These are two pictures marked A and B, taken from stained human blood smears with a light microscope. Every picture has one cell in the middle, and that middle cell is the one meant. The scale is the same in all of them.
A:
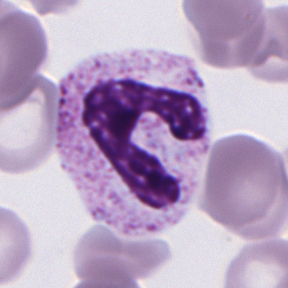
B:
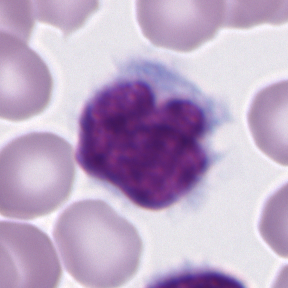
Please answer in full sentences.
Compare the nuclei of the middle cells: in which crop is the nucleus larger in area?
The nucleus in crop B is larger, with about 1.5 times the area of the one in crop A.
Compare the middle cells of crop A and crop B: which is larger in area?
Crop A holds the larger cell; it covers about 1.5 times the area of the cell in crop B.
